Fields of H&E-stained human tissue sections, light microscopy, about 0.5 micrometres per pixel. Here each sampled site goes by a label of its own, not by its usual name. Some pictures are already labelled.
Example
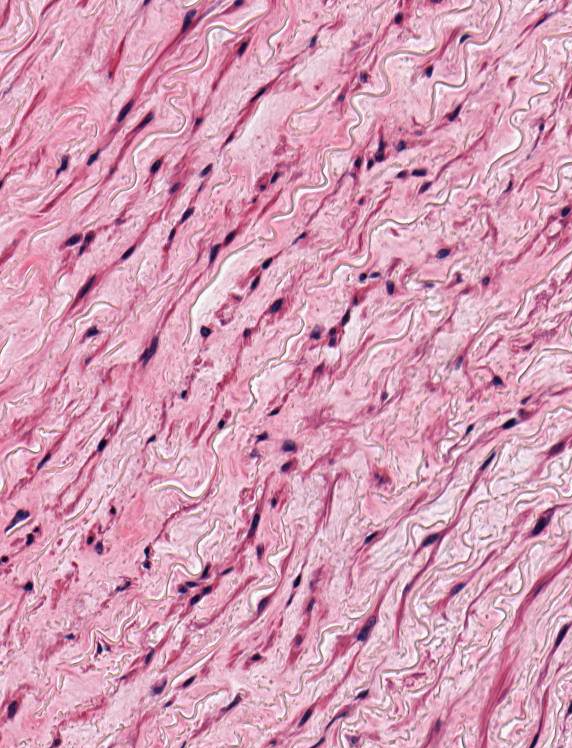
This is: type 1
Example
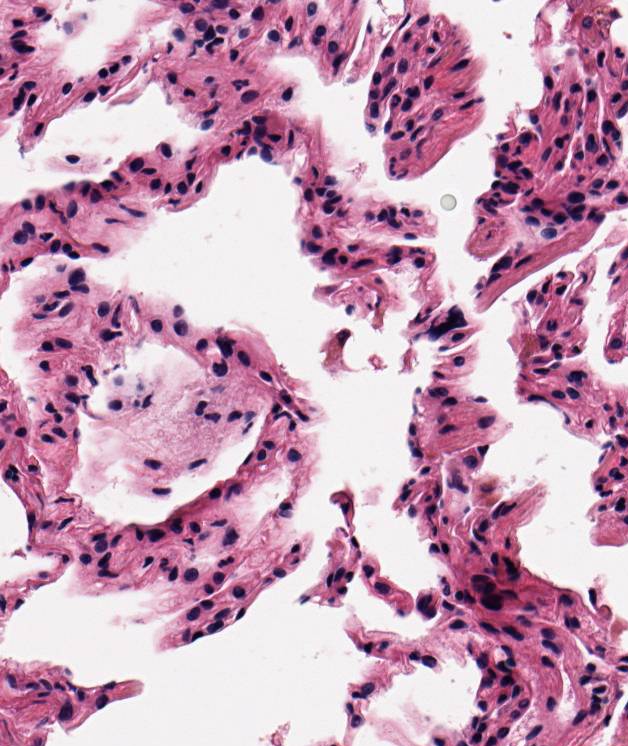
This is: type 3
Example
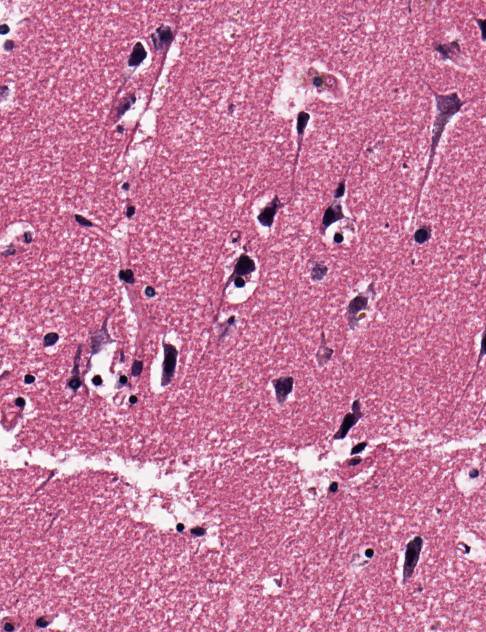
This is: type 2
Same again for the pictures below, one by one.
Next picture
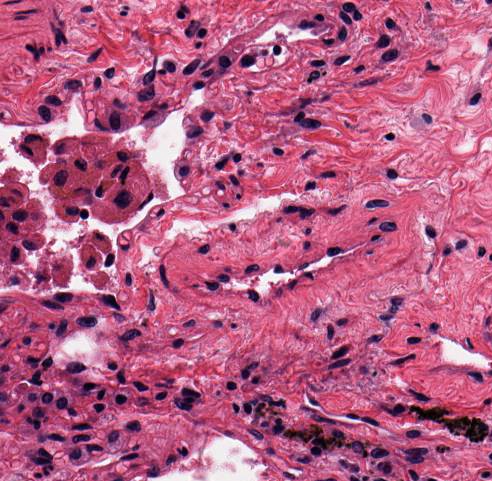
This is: type 3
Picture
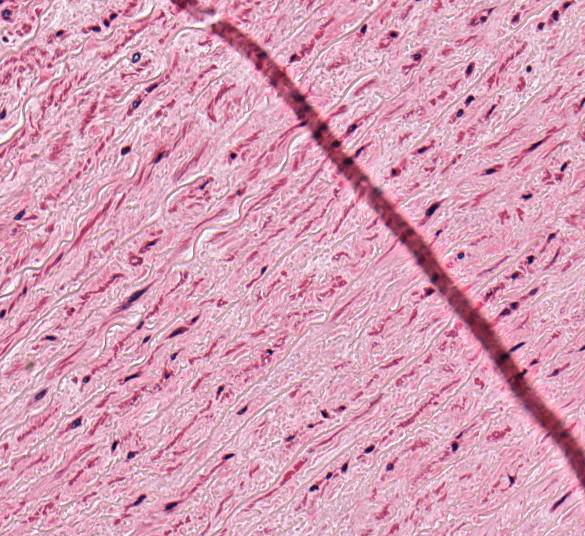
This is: type 1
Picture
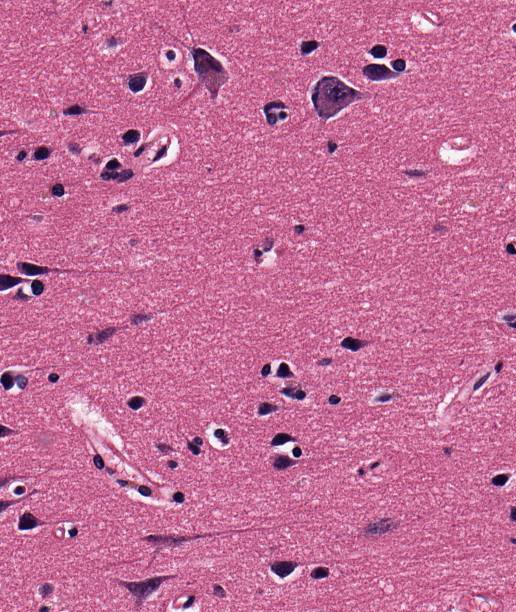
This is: type 2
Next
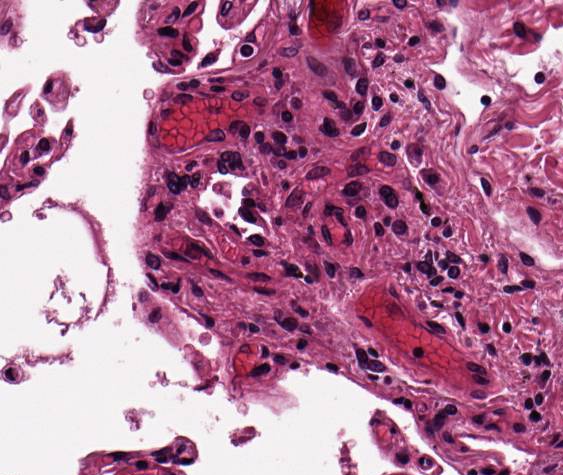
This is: type 3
